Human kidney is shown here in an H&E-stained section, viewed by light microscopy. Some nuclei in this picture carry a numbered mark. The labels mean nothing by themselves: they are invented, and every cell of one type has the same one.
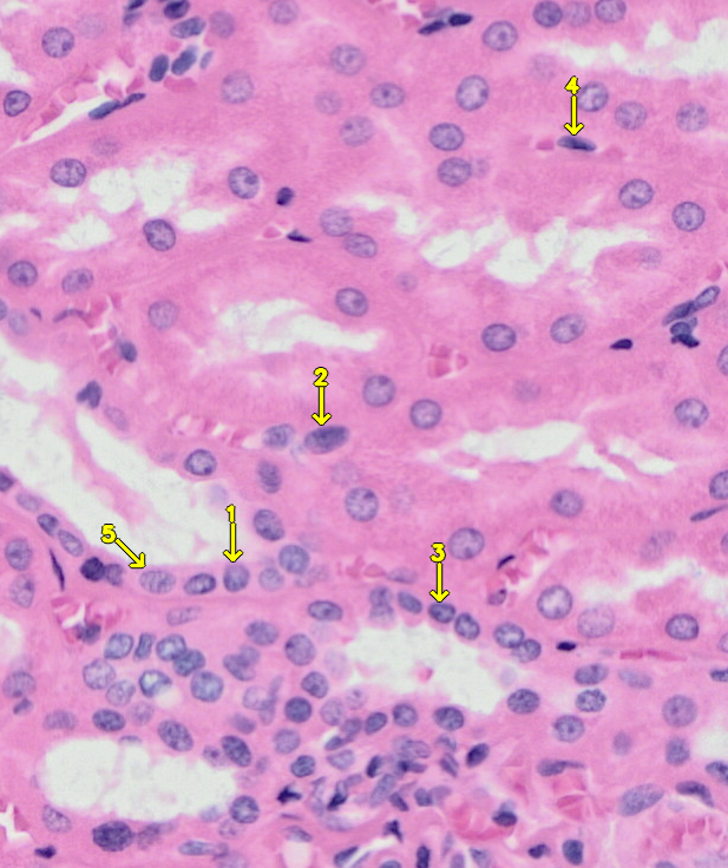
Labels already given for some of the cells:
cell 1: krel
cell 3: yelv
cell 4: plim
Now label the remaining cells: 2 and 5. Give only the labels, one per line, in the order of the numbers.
plim
krel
